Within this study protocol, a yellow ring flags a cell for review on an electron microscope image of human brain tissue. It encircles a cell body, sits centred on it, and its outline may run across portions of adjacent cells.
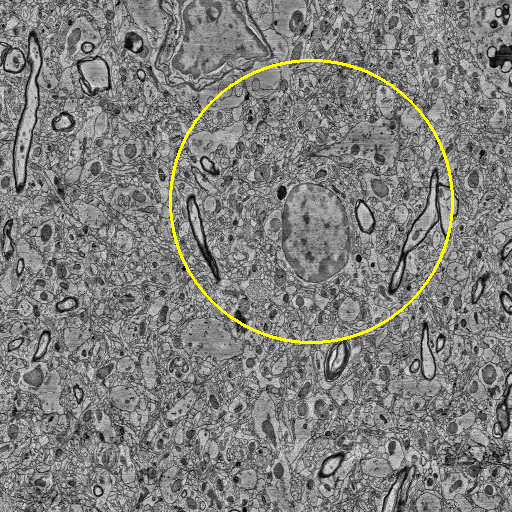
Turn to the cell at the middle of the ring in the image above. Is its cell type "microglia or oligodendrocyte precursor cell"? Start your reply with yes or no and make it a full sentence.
Yes, the cell at the ring's centre in the image above has that cell type.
